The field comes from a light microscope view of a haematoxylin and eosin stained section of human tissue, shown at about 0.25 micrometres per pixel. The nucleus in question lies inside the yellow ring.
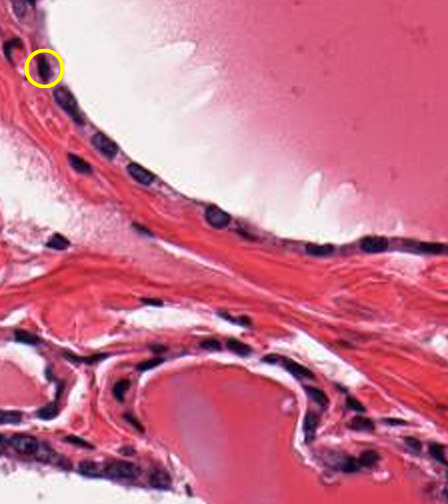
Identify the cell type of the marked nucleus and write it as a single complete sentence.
It is to a thyroid follicular cell that the marked nucleus belongs.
